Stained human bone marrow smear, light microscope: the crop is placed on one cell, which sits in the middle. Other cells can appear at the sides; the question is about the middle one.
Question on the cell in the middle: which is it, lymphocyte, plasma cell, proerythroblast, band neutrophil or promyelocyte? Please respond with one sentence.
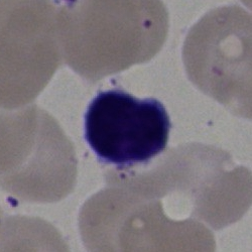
At the center of the crop sits a lymphocyte.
